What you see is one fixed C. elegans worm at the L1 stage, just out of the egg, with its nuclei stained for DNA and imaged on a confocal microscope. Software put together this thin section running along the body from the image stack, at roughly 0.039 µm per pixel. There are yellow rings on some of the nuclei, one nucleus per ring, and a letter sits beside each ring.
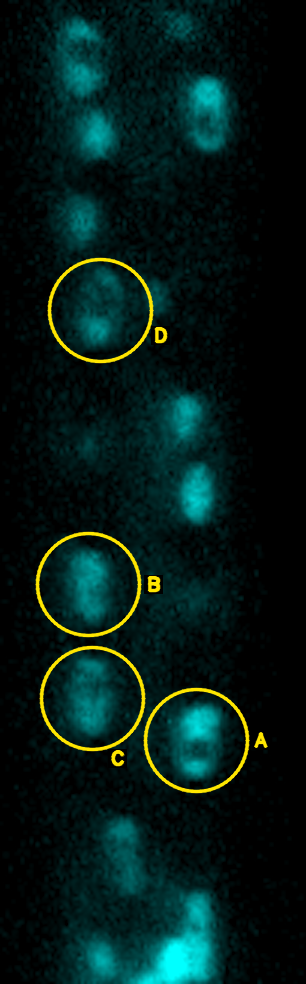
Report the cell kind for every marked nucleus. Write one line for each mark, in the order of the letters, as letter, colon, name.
A: seam cell
B: hypodermal cell (hyp)
C: seam cell
D: M mesoblast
